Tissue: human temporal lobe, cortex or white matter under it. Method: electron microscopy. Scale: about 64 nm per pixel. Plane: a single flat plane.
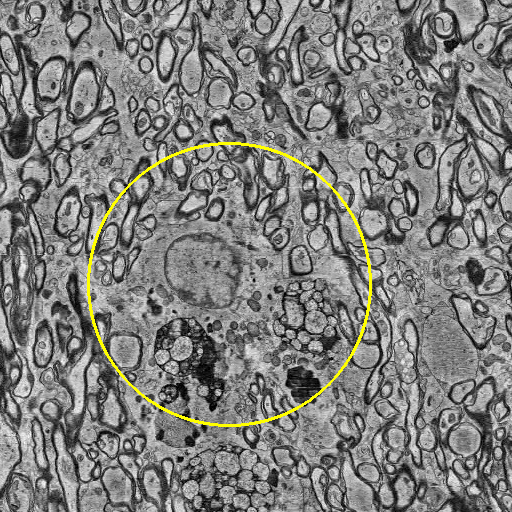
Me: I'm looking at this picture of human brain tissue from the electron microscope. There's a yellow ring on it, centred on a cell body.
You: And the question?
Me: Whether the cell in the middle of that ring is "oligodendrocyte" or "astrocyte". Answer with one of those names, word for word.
astrocyte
